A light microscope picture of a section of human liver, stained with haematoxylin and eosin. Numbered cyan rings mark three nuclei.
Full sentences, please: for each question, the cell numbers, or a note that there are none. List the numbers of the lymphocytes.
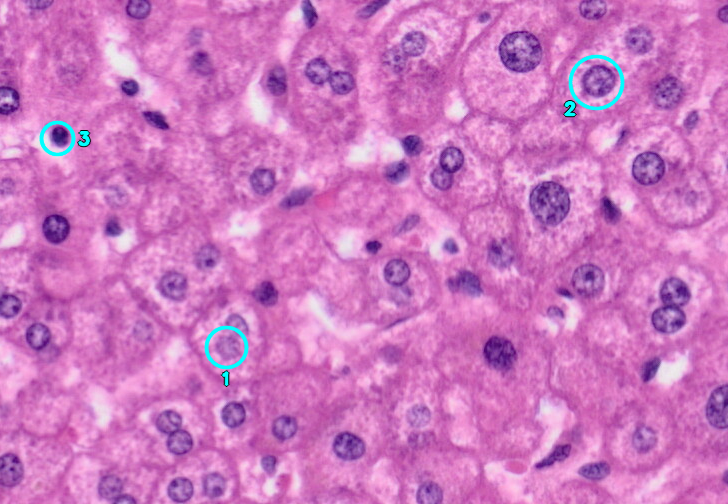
Cell 3 is the one numbered cell that is a lymphocyte.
